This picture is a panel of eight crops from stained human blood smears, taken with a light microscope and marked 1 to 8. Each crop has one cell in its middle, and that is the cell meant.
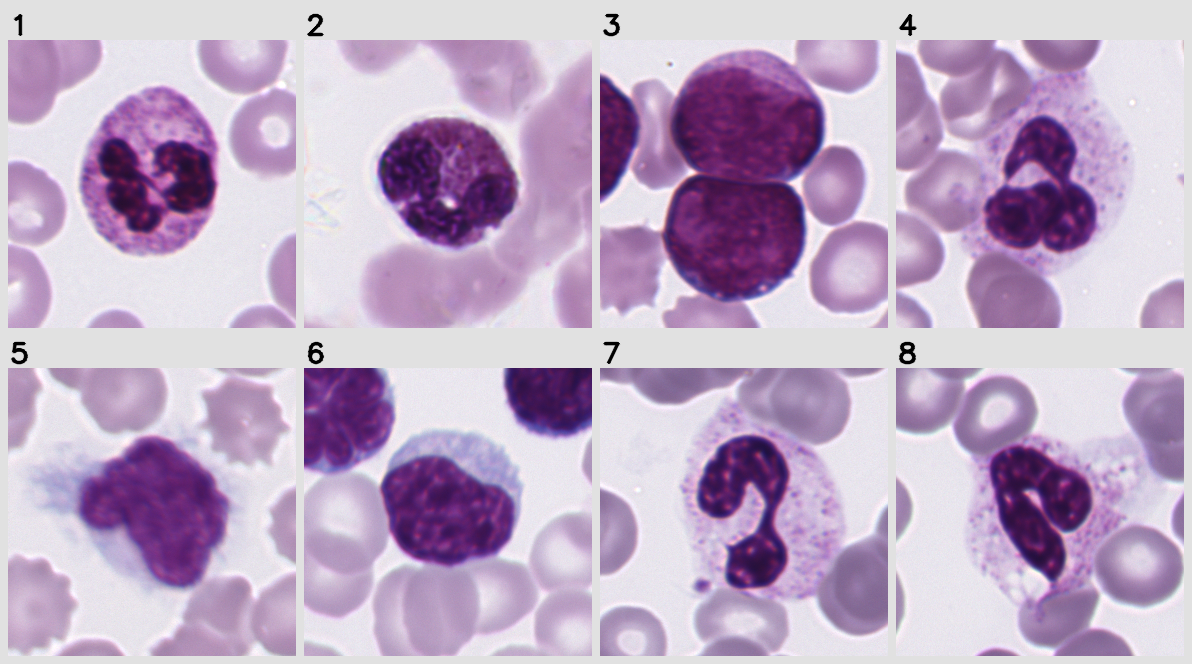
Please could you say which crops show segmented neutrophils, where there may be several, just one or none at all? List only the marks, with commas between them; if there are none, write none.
1, 4, 7, 8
